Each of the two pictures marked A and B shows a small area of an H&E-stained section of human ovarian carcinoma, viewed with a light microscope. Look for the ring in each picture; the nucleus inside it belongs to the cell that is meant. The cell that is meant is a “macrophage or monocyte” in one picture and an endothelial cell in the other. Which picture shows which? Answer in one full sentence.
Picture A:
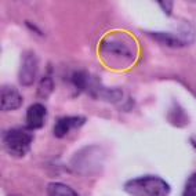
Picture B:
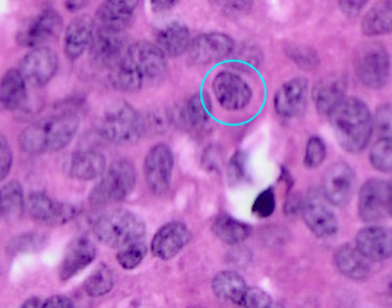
Picture B shows a “macrophage or monocyte”, while picture A shows an endothelial cell.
